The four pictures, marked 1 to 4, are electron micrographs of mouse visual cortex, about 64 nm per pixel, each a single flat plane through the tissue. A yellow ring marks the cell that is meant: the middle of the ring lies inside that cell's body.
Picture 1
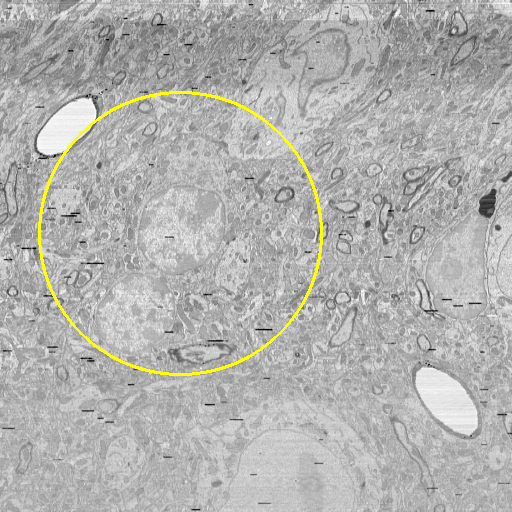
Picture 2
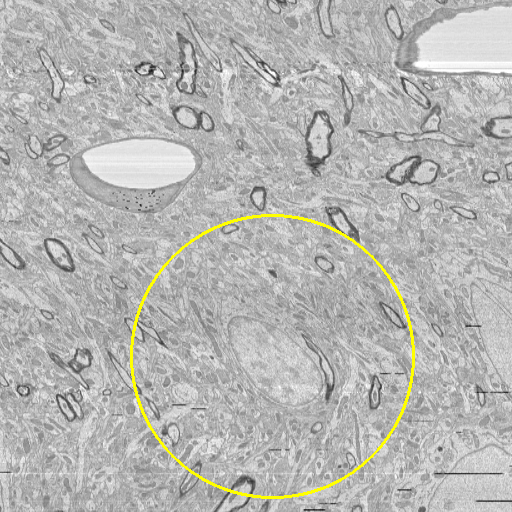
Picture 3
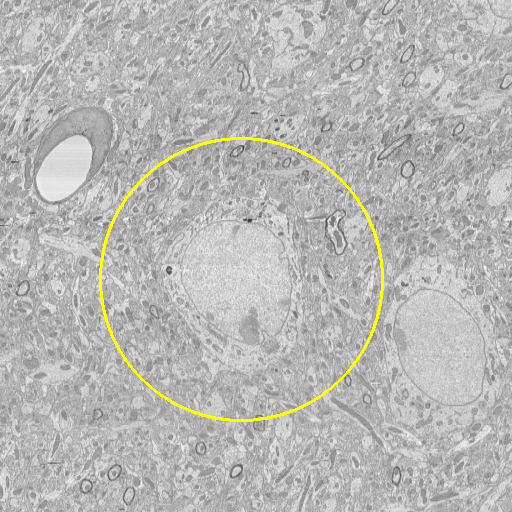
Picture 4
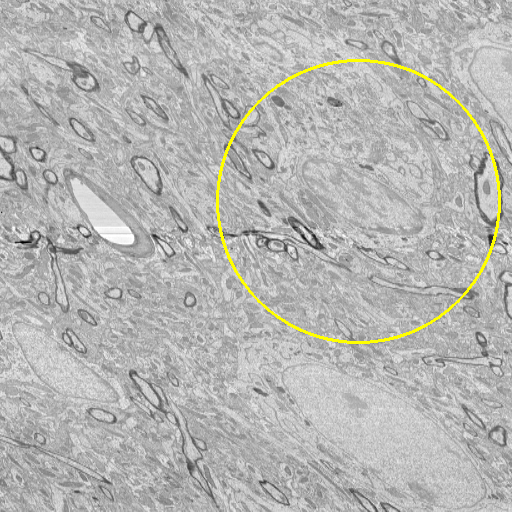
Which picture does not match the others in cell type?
The different one is picture 3; it shows an excitatory neuron, whereas all the others show oligodendrocytes.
